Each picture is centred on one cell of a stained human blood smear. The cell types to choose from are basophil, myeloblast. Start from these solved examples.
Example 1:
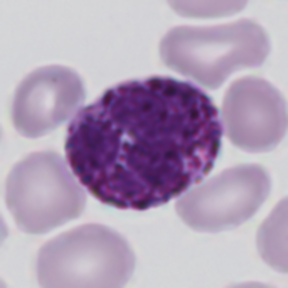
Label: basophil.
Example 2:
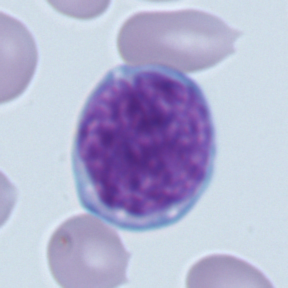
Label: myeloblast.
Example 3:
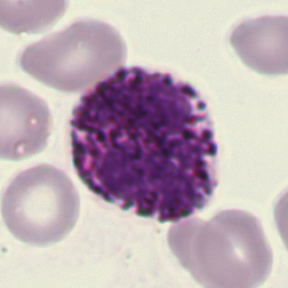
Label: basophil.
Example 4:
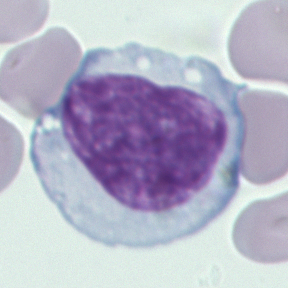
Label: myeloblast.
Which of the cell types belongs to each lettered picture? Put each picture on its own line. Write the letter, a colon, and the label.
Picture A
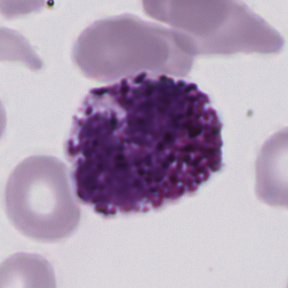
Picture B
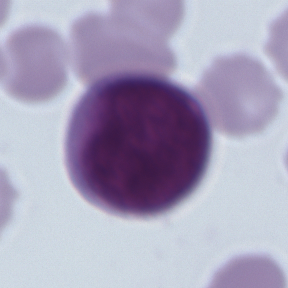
A: basophil.
B: myeloblast.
